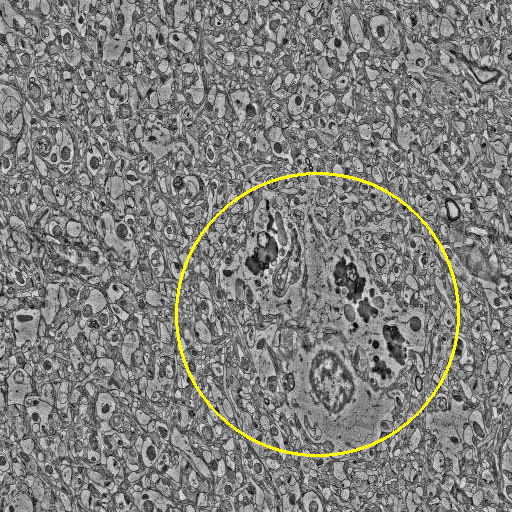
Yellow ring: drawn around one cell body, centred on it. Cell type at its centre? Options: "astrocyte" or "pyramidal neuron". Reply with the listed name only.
astrocyte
